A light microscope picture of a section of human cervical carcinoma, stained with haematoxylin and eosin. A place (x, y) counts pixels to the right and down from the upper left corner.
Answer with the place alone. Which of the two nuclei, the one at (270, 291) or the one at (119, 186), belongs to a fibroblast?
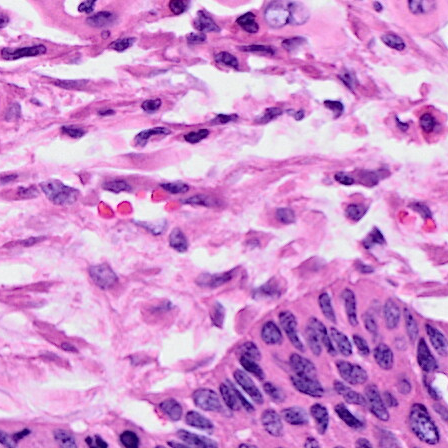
(270, 291)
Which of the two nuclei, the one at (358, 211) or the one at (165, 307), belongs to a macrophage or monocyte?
(358, 211)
